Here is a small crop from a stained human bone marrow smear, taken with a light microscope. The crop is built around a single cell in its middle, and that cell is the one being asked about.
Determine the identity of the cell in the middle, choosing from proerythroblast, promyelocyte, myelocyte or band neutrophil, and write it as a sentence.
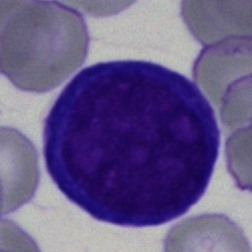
The cell found in the middle of this crop is a proerythroblast.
